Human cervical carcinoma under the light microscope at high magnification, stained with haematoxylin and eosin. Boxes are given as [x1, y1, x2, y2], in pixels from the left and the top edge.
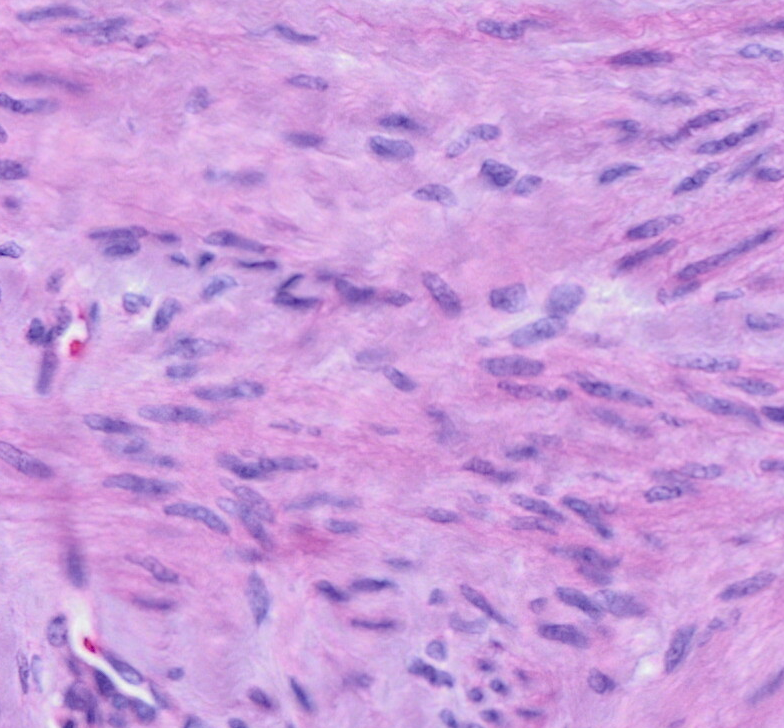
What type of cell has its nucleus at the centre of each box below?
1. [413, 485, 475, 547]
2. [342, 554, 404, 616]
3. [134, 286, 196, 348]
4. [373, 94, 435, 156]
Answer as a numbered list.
1. smooth muscle cell
2. fibroblast
3. fibroblast
4. fibroblast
